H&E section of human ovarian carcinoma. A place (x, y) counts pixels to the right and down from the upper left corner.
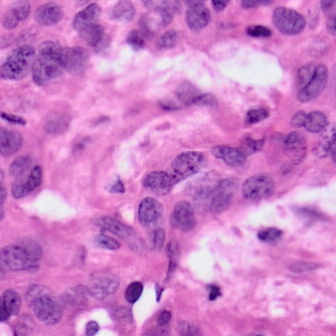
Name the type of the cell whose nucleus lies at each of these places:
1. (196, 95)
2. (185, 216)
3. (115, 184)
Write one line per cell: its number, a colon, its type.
1: fibroblast
2: carcinoma cell
3: macrophage or monocyte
